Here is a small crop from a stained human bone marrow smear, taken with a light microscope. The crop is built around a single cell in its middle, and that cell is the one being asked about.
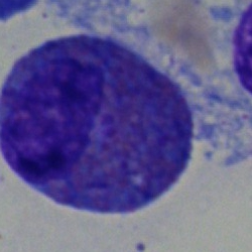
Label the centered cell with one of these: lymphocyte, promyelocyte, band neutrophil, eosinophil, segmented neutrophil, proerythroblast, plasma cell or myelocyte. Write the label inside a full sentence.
The cell in the middle of this crop is an eosinophil.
